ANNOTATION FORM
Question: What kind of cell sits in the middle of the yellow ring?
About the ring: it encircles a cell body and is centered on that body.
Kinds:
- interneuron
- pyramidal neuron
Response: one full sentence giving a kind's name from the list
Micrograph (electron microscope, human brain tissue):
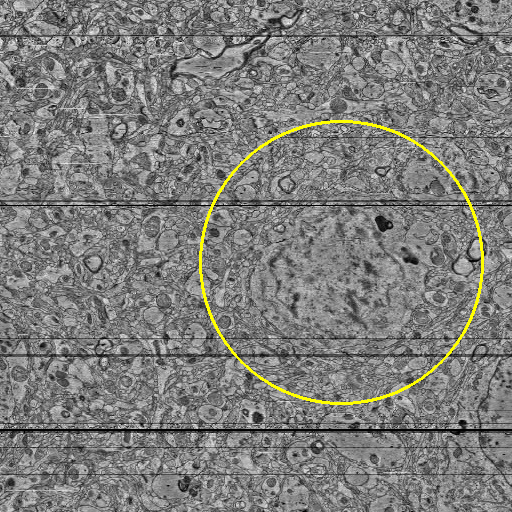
The kind of cell found at the center of the yellow ring in the micrograph is an interneuron.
